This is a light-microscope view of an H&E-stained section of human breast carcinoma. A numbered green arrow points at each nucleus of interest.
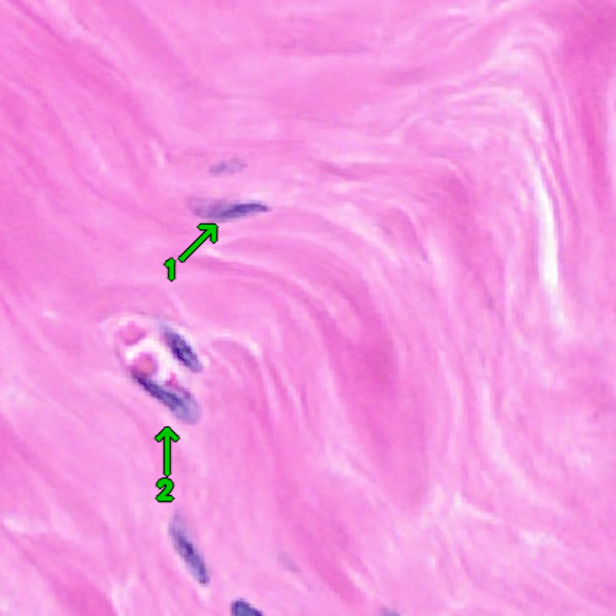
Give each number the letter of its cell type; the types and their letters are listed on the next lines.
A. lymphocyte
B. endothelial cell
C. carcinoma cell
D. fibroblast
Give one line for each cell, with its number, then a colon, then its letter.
1: D
2: B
